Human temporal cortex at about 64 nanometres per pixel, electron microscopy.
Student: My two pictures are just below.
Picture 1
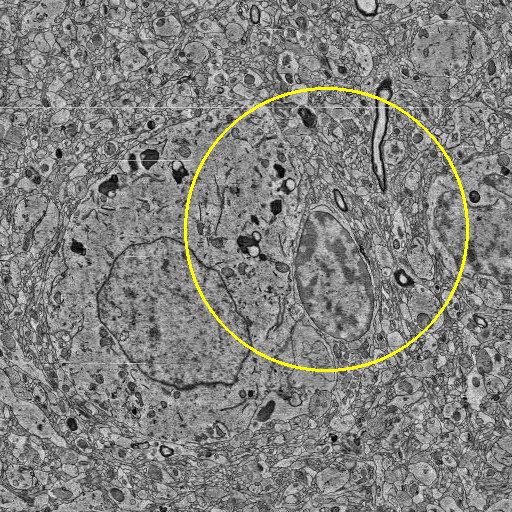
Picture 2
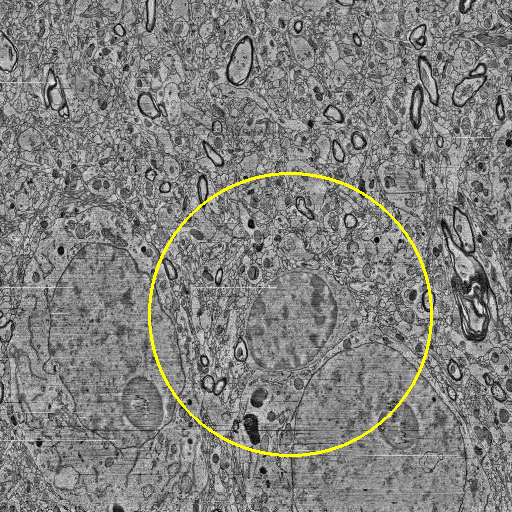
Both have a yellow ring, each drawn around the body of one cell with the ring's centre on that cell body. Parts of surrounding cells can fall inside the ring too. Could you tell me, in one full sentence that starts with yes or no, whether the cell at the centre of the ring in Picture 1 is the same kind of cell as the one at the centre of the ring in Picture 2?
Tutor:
No, the two cells are of two kinds.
